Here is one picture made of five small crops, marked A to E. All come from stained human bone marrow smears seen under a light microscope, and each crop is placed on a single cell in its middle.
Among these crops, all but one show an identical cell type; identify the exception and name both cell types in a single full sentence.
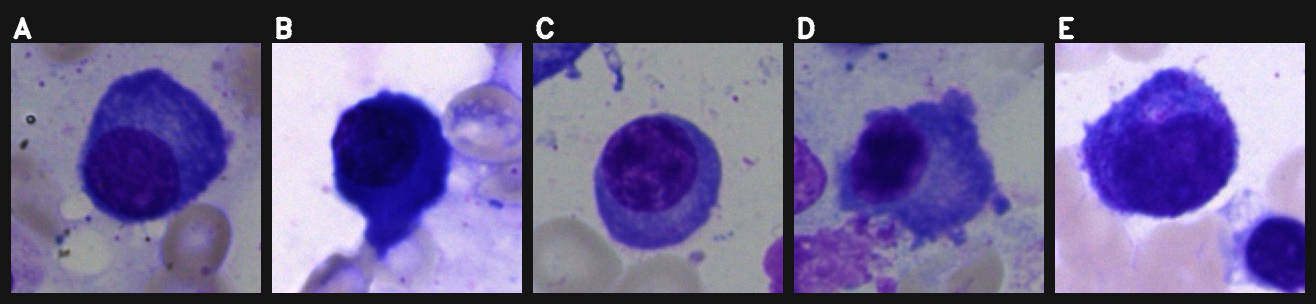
Among these crops, plasma cells occur in all but crop E, which contains a promyelocyte.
